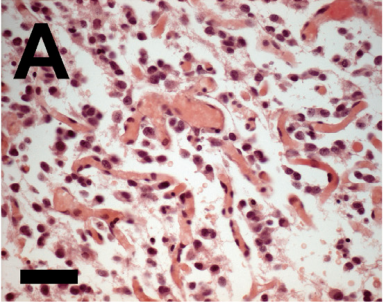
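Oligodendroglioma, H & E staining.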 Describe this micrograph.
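This is tumour tissue made up of microgemistocytes, small rounded cells each with a compact rim of pink, eosinophilic cytoplasm. Look at the nuclei: they are round, dark purple and often pushed toward one side of the cell, leaving the pink cytoplasm bulging on the other. The cells are loosely spaced rather than packed, with pale, almost empty background between them. Running through the field are pink, branching strands and elongated profiles that look like small vessels or hyalinised material, and the tumour cells are scattered along and between them in no particular layered arrangement.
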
